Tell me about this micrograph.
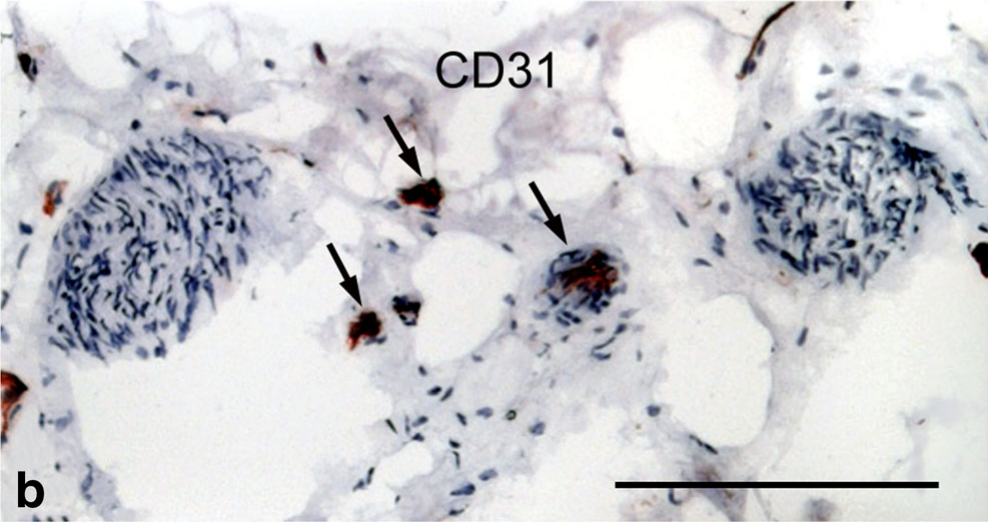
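This is loose connective and fatty tissue with small vessels whose endothelial cells are stained brown. The brown profiles are small and rounded, and one lies within a little ring of blue nuclei. On either side lie two larger rounded bundles made of many elongated blue nuclei with no brown staining. The surrounding tissue is pale and loose, with scattered spindle-shaped nuclei and large empty spaces of fat cells.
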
